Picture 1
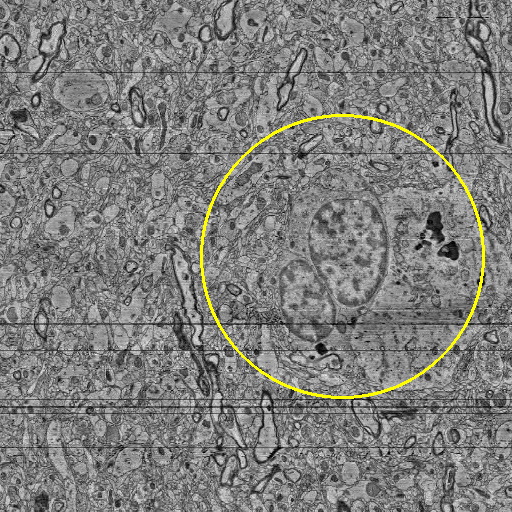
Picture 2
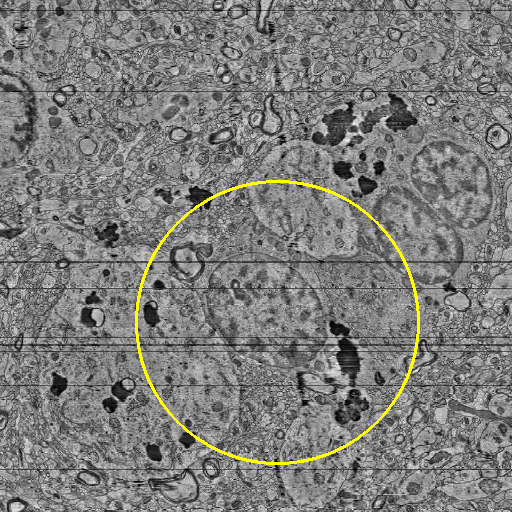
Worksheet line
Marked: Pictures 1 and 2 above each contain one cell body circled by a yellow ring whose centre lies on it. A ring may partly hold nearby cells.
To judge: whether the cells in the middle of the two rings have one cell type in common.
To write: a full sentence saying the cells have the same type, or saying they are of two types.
The cells in the middle of the rings in Picture 1 and Picture 2 have the same type.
